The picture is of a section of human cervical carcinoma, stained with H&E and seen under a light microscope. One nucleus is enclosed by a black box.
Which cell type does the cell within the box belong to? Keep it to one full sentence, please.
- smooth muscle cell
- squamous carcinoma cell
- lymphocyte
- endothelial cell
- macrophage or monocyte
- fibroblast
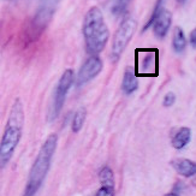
The classification of the cell within the box is as a smooth muscle cell.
